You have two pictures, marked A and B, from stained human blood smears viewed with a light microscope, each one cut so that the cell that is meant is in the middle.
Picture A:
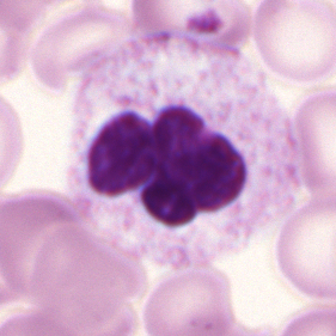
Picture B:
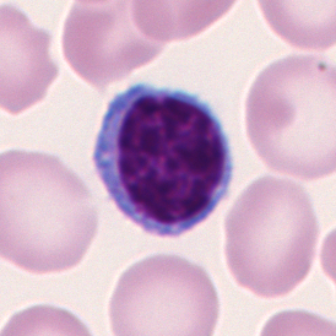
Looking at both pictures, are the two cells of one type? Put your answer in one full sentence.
No. Picture A shows a segmented neutrophil, but picture B shows a typical lymphocyte.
